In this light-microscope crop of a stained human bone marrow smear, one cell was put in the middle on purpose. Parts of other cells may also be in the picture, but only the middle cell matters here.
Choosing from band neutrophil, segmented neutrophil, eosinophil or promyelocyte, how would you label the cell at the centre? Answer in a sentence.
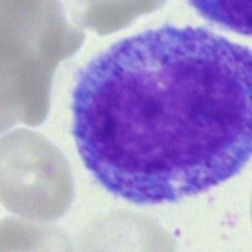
The cell of interest, in the center, is a promyelocyte.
